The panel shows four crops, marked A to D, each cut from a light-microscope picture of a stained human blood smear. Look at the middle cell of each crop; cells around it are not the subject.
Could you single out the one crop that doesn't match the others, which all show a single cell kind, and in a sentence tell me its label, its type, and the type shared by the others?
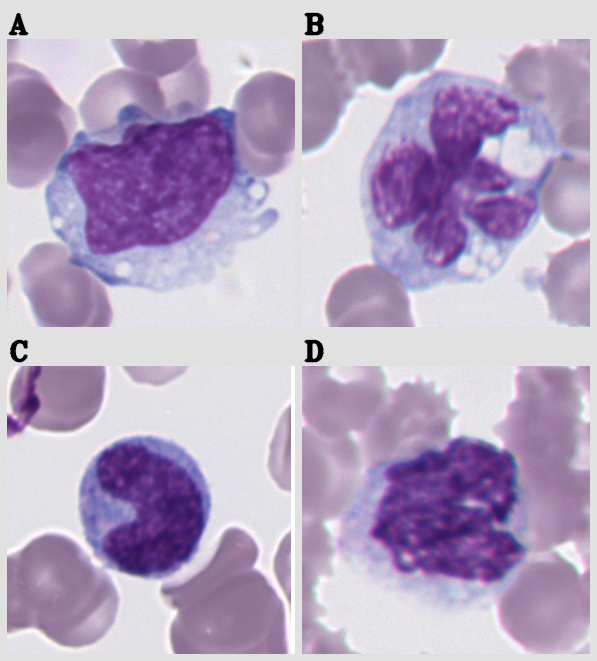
Unlike the rest, which all show monocytes, crop A contains a blast.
